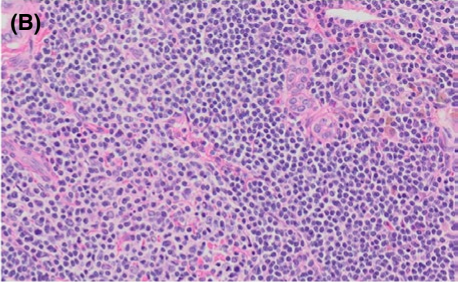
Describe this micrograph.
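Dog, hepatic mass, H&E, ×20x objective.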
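This is a dense sheet of lymphocytes replacing the tissue, with small to intermediate round cells having round dark purple nuclei and little cytoplasm. On the left the cells are slightly larger with more distinct pale cytoplasm, while on the right smaller, more tightly packed cells with darker nuclei predominate. A few small vessels with pink walls run through the cell sheet.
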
